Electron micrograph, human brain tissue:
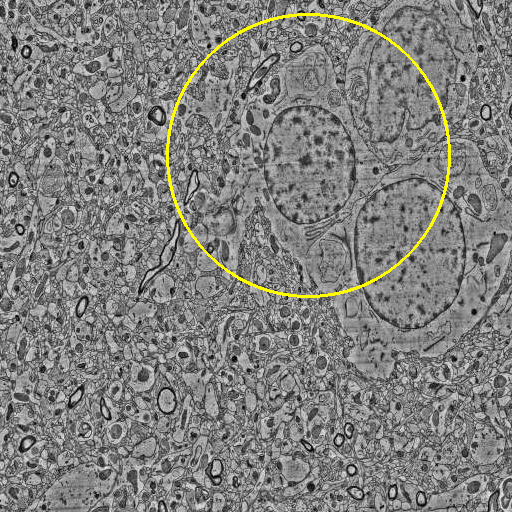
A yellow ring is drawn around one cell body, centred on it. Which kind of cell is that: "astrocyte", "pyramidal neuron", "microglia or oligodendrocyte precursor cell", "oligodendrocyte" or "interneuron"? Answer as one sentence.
It is an astrocyte at the centre of the ring.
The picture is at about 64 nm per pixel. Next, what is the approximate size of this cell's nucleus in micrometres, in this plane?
The nucleus measures about 8 by 6 micrometres in this plane.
